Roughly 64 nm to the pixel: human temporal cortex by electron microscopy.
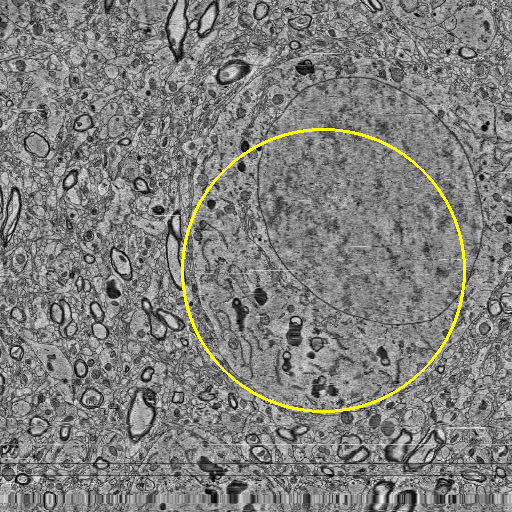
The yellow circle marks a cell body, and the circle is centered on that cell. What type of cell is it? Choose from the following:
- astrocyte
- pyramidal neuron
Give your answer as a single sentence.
This cell body belongs to a pyramidal neuron.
